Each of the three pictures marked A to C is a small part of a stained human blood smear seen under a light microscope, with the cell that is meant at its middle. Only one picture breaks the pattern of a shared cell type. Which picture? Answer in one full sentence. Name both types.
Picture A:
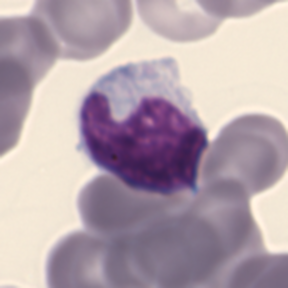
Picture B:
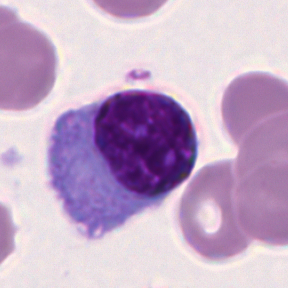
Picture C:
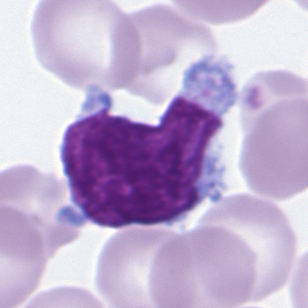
The different one is picture B; it shows a plasma cell, whereas all the others show typical lymphocytes.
